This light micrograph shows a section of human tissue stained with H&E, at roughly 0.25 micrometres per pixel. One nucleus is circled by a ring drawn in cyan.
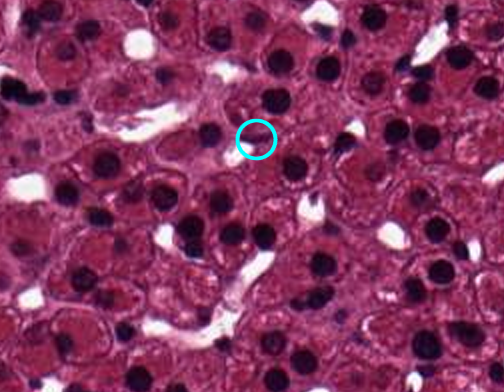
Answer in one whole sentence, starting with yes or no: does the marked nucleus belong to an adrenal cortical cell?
No, the marked nucleus, which belongs to a supporting cell, is not part of an adrenal cortical cell.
